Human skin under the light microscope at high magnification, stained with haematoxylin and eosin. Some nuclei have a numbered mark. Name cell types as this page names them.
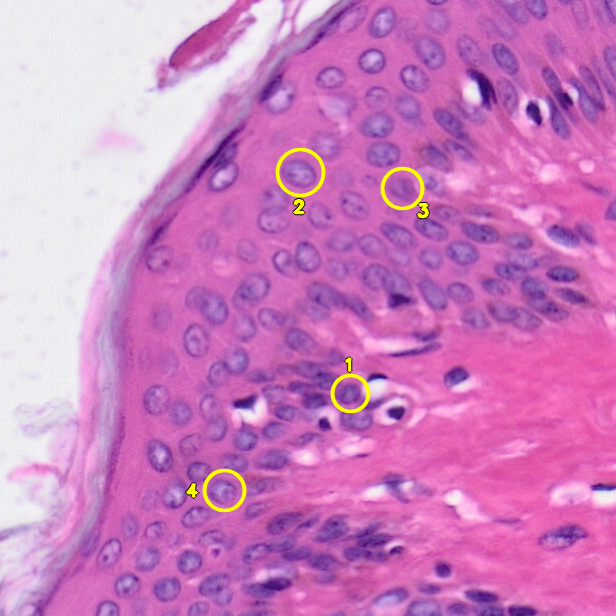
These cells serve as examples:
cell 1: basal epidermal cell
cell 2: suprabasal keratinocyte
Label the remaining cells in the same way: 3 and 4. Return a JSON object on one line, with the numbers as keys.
{"3": "suprabasal keratinocyte", "4": "suprabasal keratinocyte"}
